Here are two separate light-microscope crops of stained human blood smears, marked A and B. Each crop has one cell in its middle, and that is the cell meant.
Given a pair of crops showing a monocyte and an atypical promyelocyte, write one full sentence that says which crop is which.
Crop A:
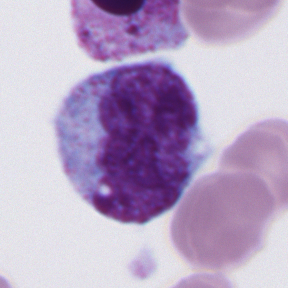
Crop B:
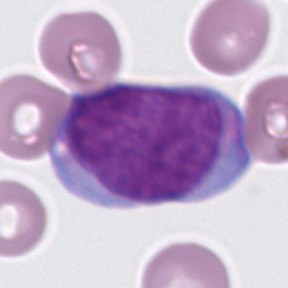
Crop A corresponds to a monocyte, and crop B corresponds to an atypical promyelocyte.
